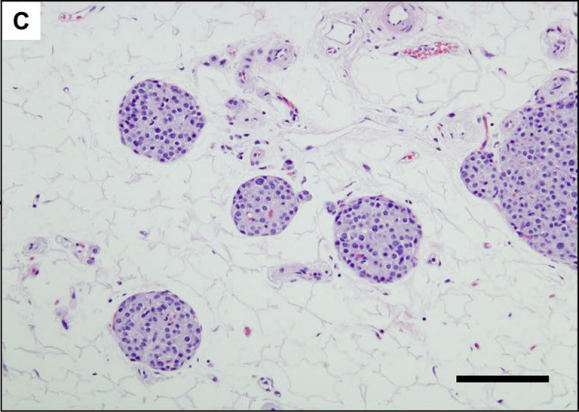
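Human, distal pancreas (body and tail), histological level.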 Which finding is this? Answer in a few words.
Severe atrophy.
